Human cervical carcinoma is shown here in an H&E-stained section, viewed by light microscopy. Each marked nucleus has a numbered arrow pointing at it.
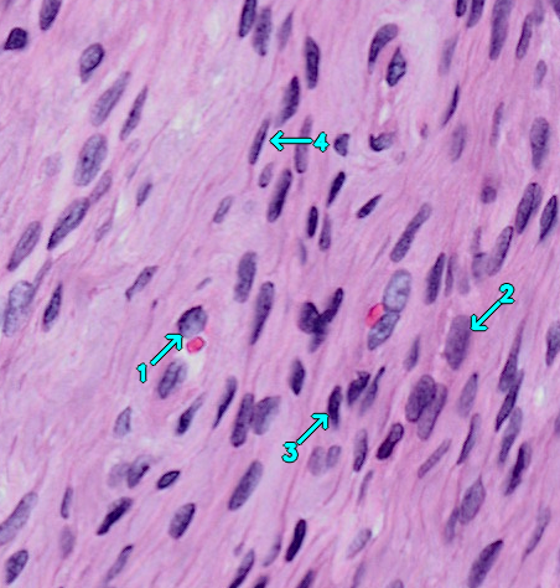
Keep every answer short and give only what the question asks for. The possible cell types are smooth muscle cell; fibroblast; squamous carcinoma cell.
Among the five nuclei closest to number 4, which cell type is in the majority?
fibroblast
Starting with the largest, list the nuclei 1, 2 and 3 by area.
2, 1, 3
